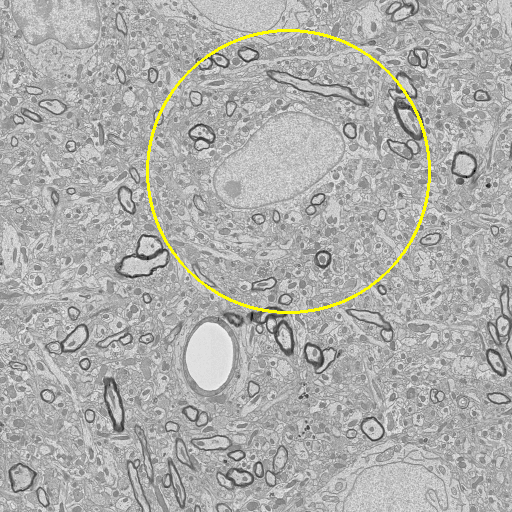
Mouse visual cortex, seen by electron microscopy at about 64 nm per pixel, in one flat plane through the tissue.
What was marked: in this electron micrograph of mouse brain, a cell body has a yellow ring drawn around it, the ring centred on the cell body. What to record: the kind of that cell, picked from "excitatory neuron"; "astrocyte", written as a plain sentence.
The centred cell is an astrocyte.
